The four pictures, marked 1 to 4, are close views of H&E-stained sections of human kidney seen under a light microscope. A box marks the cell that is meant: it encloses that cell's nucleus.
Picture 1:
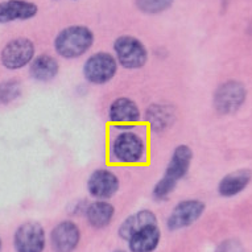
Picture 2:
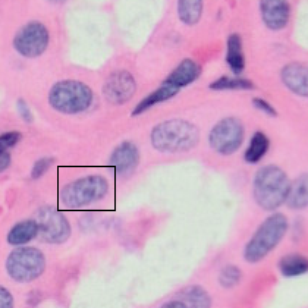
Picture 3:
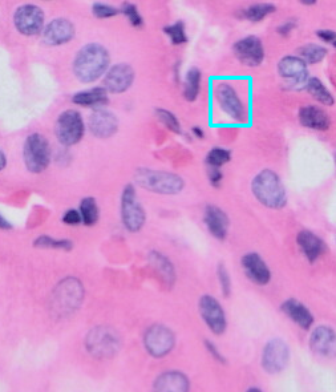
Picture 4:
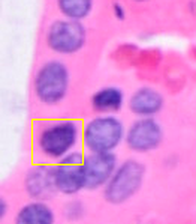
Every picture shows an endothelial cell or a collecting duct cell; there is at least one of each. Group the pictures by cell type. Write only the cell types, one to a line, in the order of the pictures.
collecting duct cell
collecting duct cell
endothelial cell
collecting duct cell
